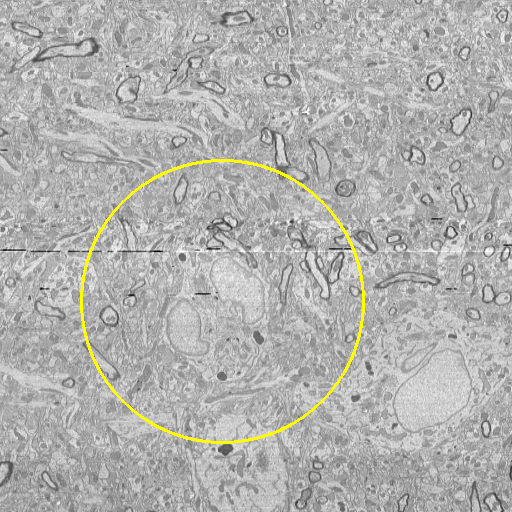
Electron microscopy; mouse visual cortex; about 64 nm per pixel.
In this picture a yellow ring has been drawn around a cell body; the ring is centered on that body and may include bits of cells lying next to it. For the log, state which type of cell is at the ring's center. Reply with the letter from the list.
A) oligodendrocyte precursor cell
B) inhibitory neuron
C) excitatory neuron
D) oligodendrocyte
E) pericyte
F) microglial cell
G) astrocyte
A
